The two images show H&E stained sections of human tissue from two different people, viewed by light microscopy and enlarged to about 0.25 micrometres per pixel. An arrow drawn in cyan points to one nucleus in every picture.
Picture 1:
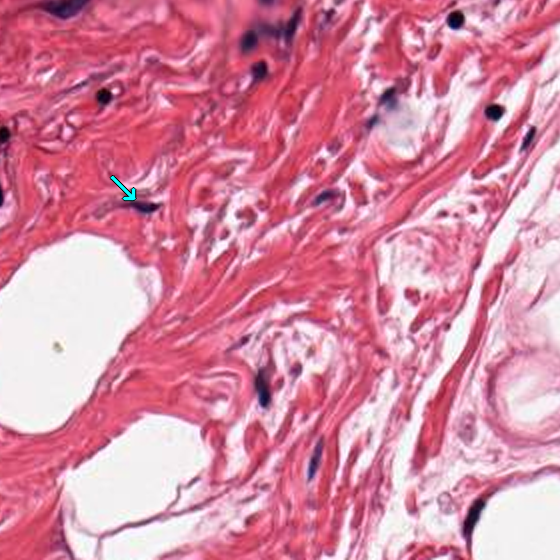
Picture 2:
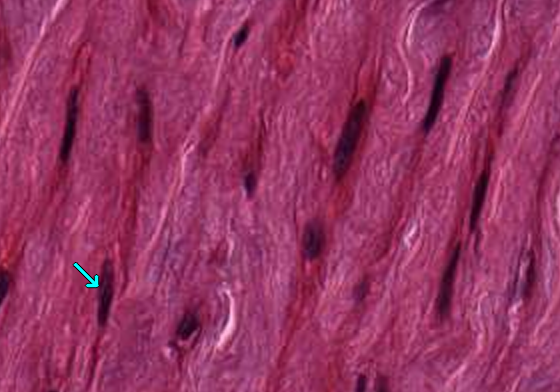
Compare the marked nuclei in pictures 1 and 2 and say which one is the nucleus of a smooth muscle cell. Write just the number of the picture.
2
